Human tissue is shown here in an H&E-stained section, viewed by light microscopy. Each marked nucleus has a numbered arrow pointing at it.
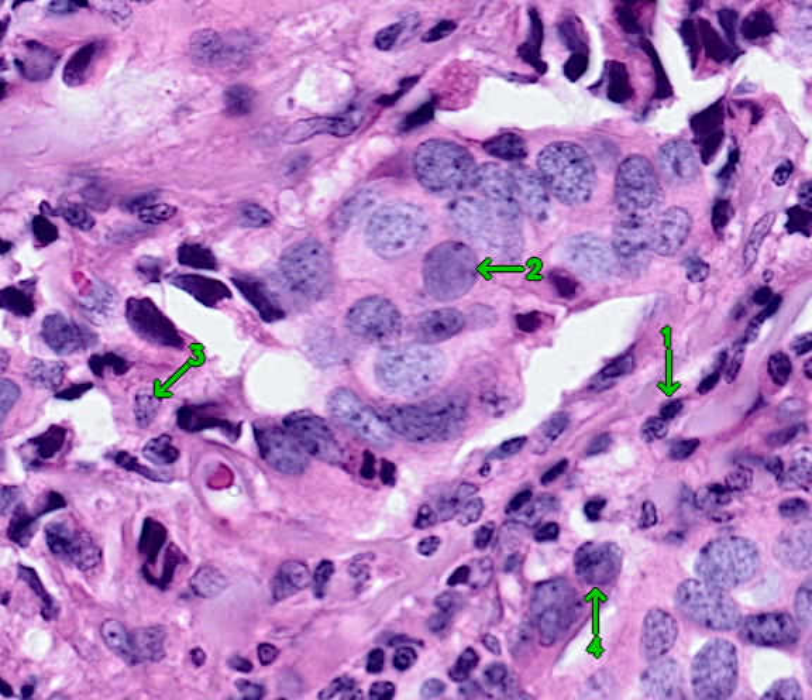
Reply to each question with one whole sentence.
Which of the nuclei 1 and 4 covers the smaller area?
It is nucleus 1; nucleus 4 has about 3 times its area.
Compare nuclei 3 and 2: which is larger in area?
It is nucleus 2, which covers about 3 times the area of nucleus 3.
